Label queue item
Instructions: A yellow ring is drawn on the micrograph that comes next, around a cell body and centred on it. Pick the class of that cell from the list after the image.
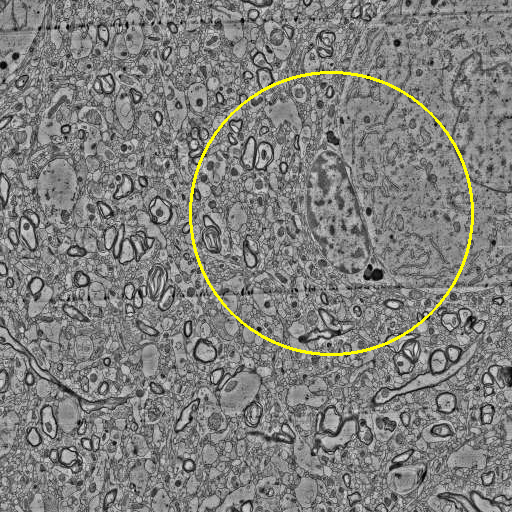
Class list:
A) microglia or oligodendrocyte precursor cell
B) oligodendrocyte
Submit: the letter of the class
A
